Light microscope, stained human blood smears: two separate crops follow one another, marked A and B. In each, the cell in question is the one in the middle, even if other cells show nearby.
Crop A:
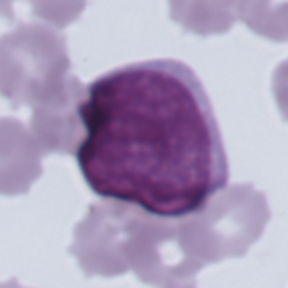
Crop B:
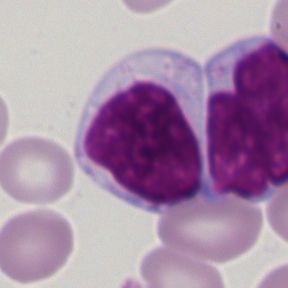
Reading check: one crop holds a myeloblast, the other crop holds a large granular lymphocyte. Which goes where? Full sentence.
Crop A is a myeloblast, while a large granular lymphocyte is the cell in crop B.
